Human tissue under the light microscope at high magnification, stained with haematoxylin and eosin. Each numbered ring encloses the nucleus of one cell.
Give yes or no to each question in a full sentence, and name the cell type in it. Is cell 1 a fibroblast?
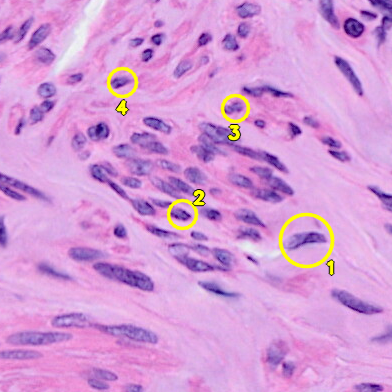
Yes, among the marked cells, the one with number 1 is a fibroblast.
